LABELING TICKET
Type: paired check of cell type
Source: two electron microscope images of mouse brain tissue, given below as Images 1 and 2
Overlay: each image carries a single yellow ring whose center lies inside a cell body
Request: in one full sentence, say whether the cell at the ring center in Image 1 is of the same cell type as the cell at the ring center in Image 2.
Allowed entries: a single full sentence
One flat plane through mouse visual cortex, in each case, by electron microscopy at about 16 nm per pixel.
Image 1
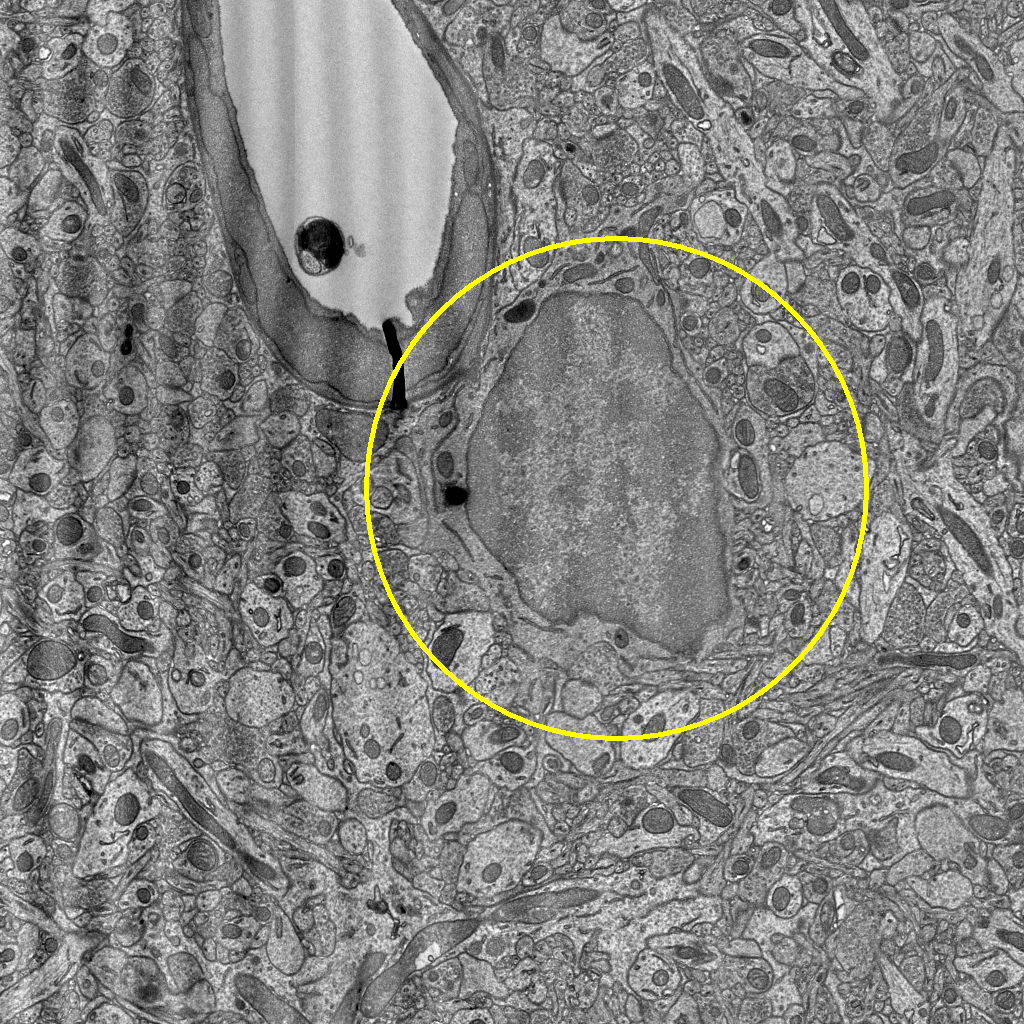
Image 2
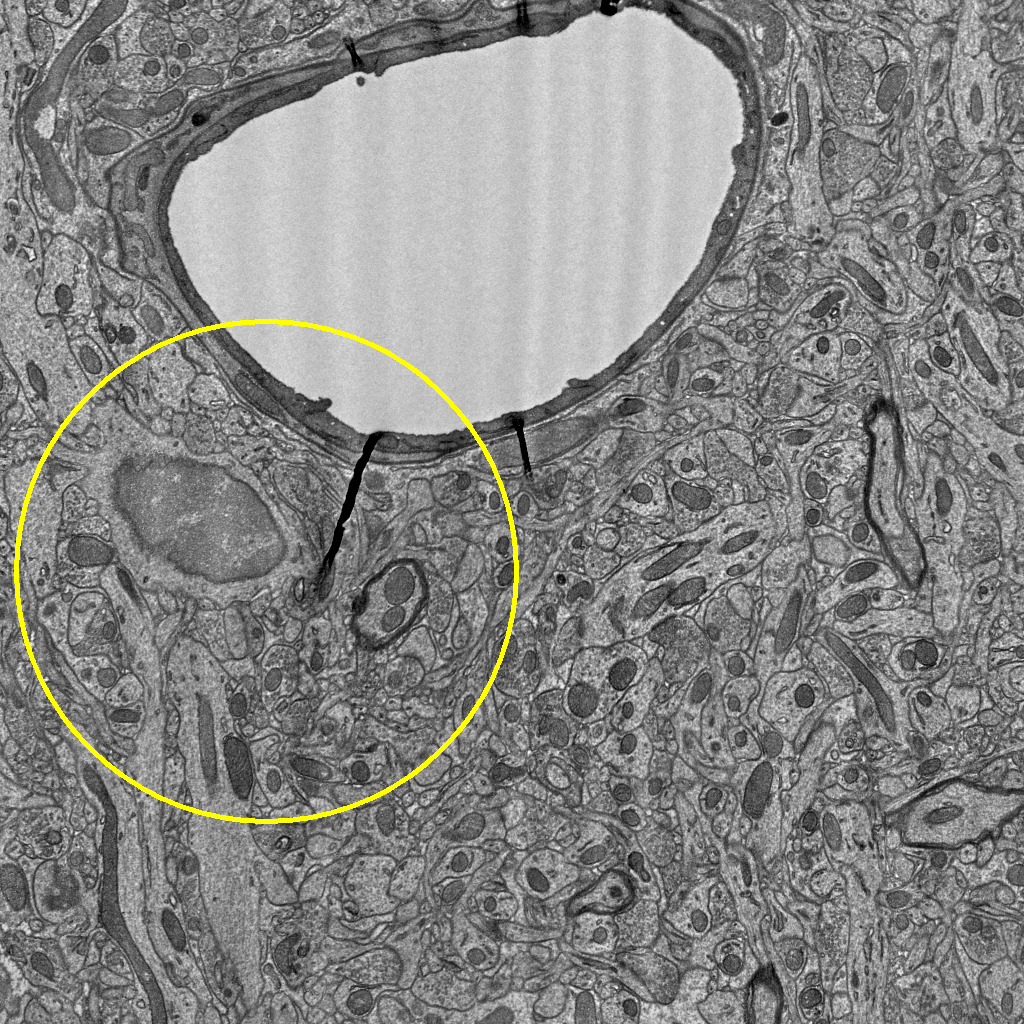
Yes, the cells at the ring centers of Image 1 and Image 2 share one type.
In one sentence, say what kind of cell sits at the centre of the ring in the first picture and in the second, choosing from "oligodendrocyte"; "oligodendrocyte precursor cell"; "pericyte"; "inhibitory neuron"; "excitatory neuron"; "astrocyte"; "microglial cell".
The second cell is a microglial cell, just as the first is.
